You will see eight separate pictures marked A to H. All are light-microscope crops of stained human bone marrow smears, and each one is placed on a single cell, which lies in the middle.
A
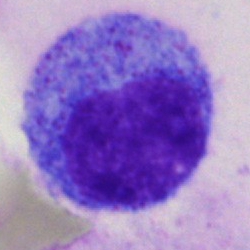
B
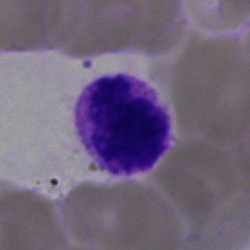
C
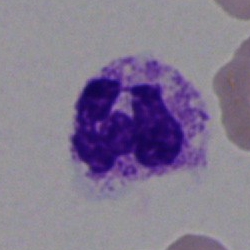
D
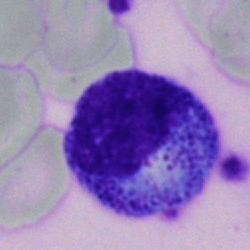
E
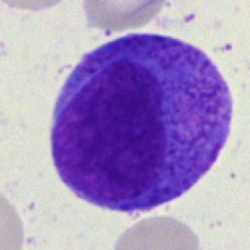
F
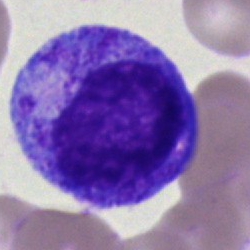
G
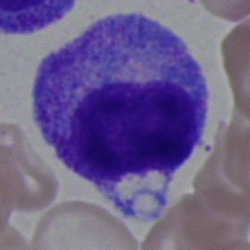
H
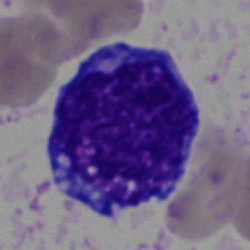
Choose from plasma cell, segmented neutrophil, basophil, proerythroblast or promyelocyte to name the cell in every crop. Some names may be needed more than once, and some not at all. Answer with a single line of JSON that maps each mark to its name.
{"A": "promyelocyte", "B": "basophil", "C": "segmented neutrophil", "D": "promyelocyte", "E": "promyelocyte", "F": "promyelocyte", "G": "promyelocyte", "H": "promyelocyte"}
